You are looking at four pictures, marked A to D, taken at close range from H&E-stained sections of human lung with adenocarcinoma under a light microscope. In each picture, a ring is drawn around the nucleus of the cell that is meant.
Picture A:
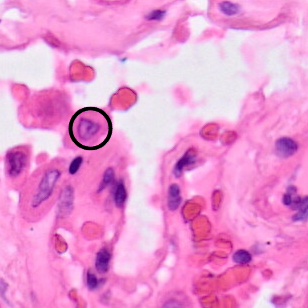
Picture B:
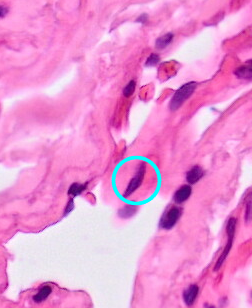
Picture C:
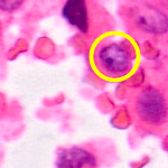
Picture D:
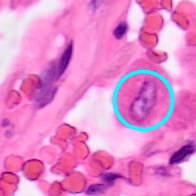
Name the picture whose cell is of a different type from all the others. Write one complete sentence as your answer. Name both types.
The different one is picture B; it shows an endothelial cell, whereas all the others show “macrophages or monocytes”.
